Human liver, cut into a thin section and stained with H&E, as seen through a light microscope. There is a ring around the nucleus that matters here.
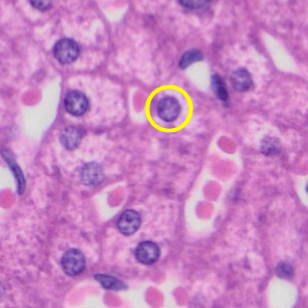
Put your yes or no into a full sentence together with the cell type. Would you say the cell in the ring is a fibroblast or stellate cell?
No, the cell in the ring is correctly named a hepatocyte; it is not a fibroblast or stellate cell.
